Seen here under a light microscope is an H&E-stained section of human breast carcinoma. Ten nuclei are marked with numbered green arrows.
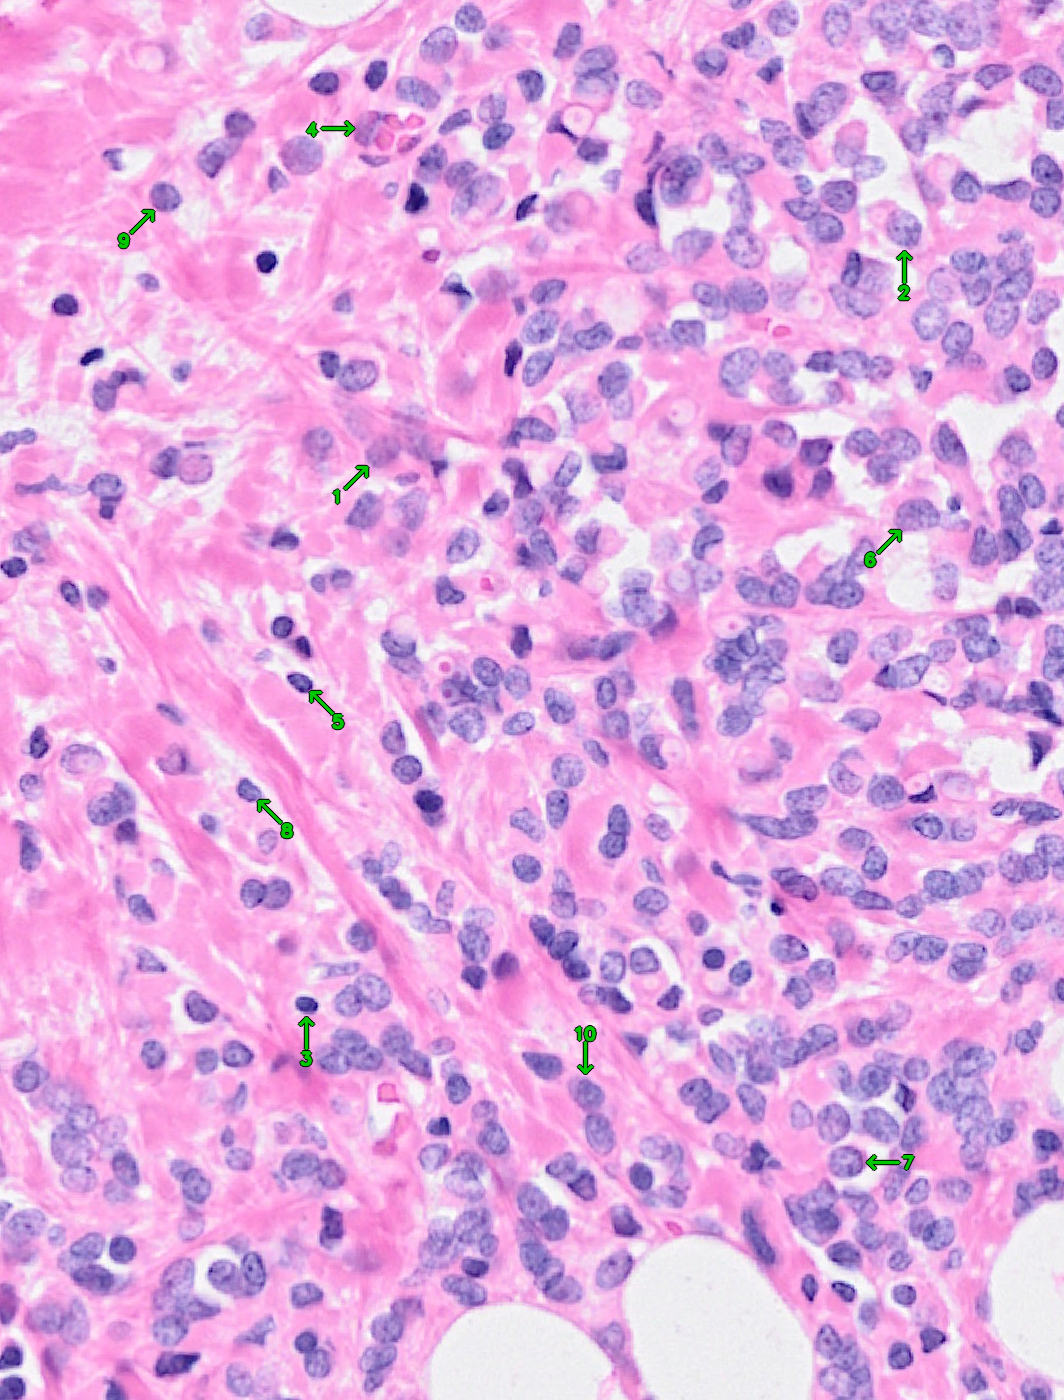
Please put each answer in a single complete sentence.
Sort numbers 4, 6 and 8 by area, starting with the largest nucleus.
Going from the biggest nucleus down to the smallest gives 6, 4, 8.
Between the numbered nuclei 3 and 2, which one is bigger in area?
Nucleus 2 is the larger one, covering about 3 times the area of nucleus 3.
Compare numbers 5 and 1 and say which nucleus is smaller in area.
It is nucleus 5; nucleus 1 has about 2 times its area.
